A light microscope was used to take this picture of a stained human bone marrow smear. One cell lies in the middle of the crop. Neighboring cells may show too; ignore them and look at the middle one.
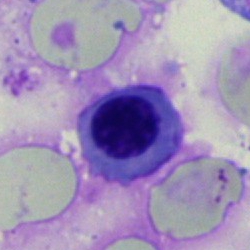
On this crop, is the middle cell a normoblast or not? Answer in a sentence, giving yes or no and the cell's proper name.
Yes, the cell at the centre is designated a normoblast.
